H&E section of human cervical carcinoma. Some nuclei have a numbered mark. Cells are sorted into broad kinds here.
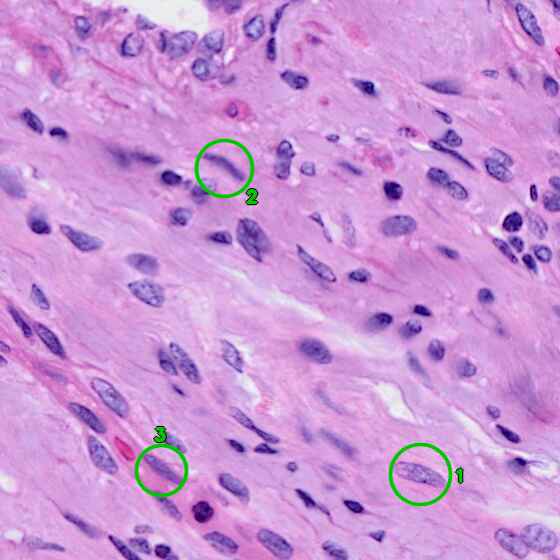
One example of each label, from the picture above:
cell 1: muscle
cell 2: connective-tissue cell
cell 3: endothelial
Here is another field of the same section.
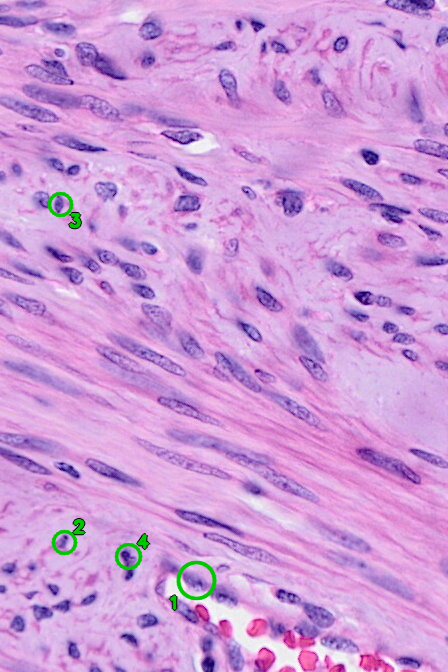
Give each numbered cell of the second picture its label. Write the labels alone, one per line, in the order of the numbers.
endothelial
muscle
muscle
connective-tissue cell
